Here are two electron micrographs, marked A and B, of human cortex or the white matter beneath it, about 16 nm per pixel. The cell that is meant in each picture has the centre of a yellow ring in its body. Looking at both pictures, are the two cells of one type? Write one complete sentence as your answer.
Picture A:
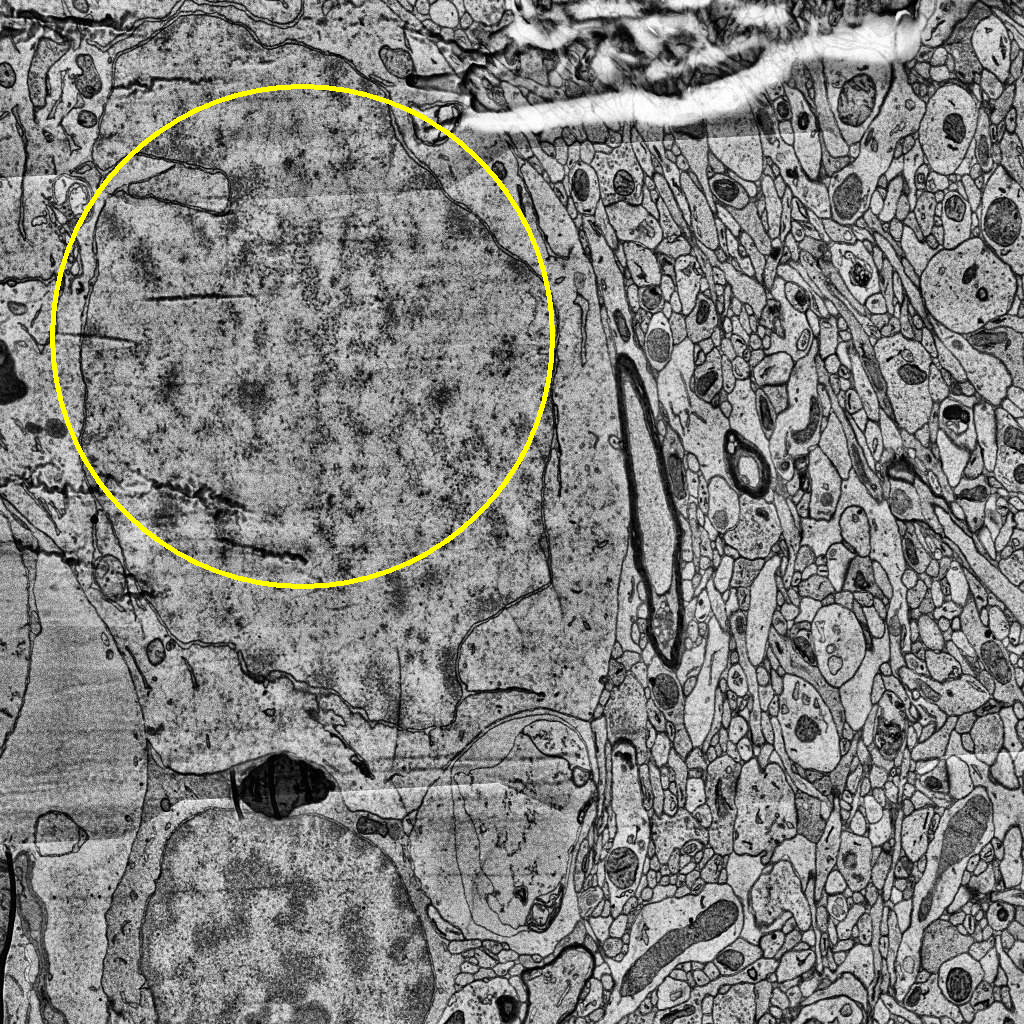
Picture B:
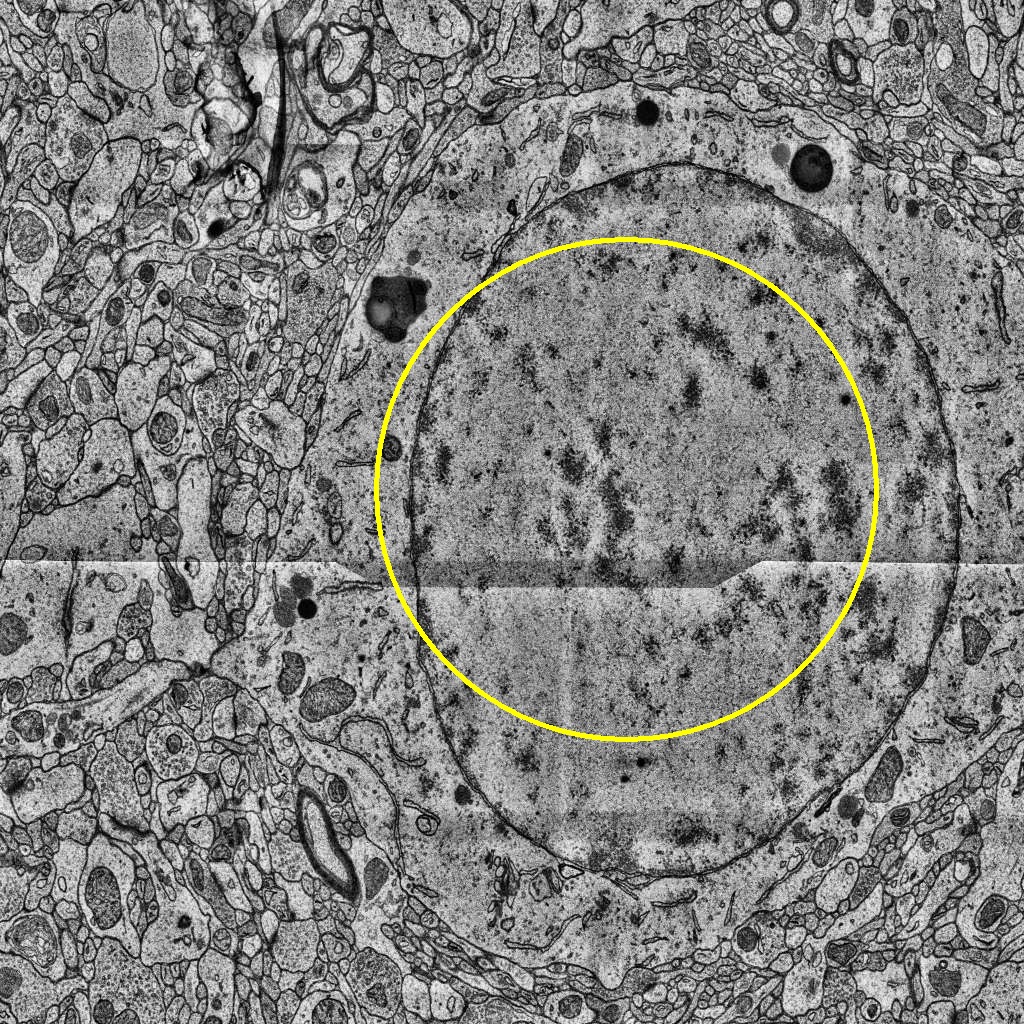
No; the cell in picture A is an interneuron, while the one in picture B is a pyramidal neuron.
